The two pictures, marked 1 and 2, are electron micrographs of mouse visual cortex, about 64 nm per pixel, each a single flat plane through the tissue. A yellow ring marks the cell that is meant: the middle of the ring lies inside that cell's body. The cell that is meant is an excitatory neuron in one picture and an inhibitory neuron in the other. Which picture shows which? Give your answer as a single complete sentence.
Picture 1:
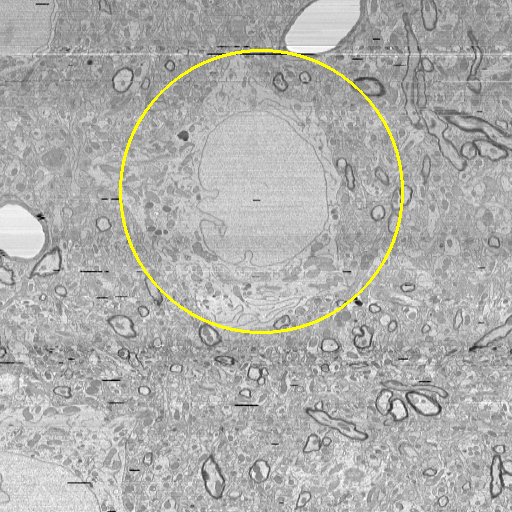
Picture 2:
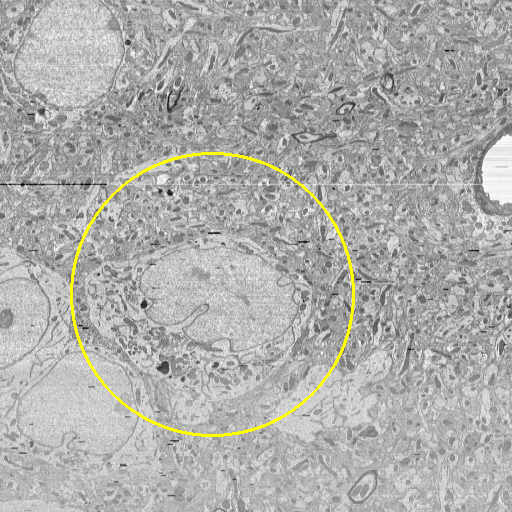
It is picture 1 that shows an excitatory neuron, and picture 2 that shows an inhibitory neuron.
